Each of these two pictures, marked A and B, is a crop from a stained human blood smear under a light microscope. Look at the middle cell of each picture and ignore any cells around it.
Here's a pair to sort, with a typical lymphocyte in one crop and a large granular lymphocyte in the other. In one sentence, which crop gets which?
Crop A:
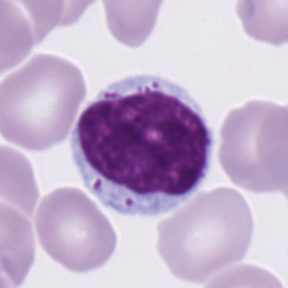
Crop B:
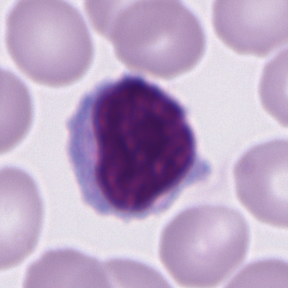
Crop A contains a large granular lymphocyte, and crop B, a typical lymphocyte.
